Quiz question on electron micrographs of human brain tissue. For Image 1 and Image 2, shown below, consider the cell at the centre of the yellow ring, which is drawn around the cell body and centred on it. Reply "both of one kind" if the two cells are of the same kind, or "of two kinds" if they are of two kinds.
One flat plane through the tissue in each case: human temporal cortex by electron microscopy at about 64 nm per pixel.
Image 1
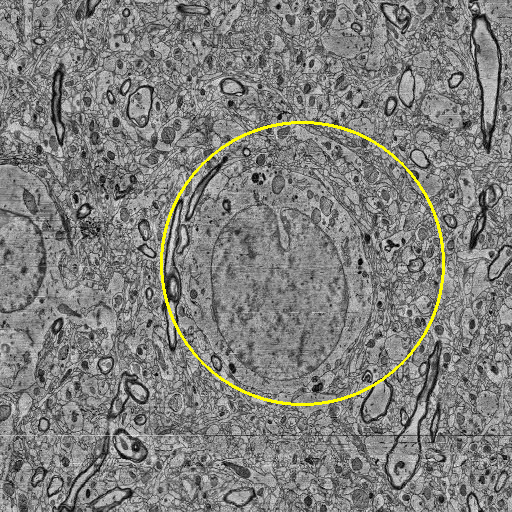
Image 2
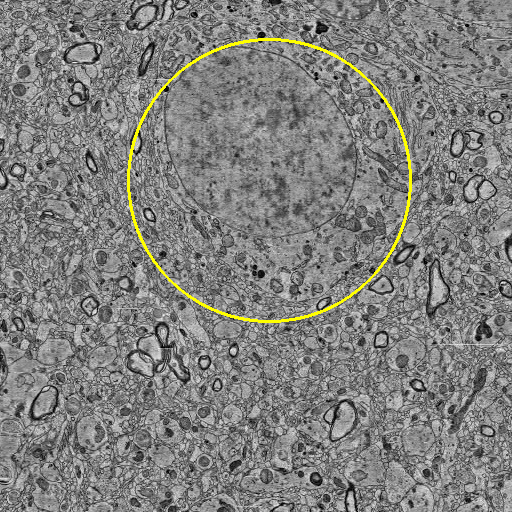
both of one kind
